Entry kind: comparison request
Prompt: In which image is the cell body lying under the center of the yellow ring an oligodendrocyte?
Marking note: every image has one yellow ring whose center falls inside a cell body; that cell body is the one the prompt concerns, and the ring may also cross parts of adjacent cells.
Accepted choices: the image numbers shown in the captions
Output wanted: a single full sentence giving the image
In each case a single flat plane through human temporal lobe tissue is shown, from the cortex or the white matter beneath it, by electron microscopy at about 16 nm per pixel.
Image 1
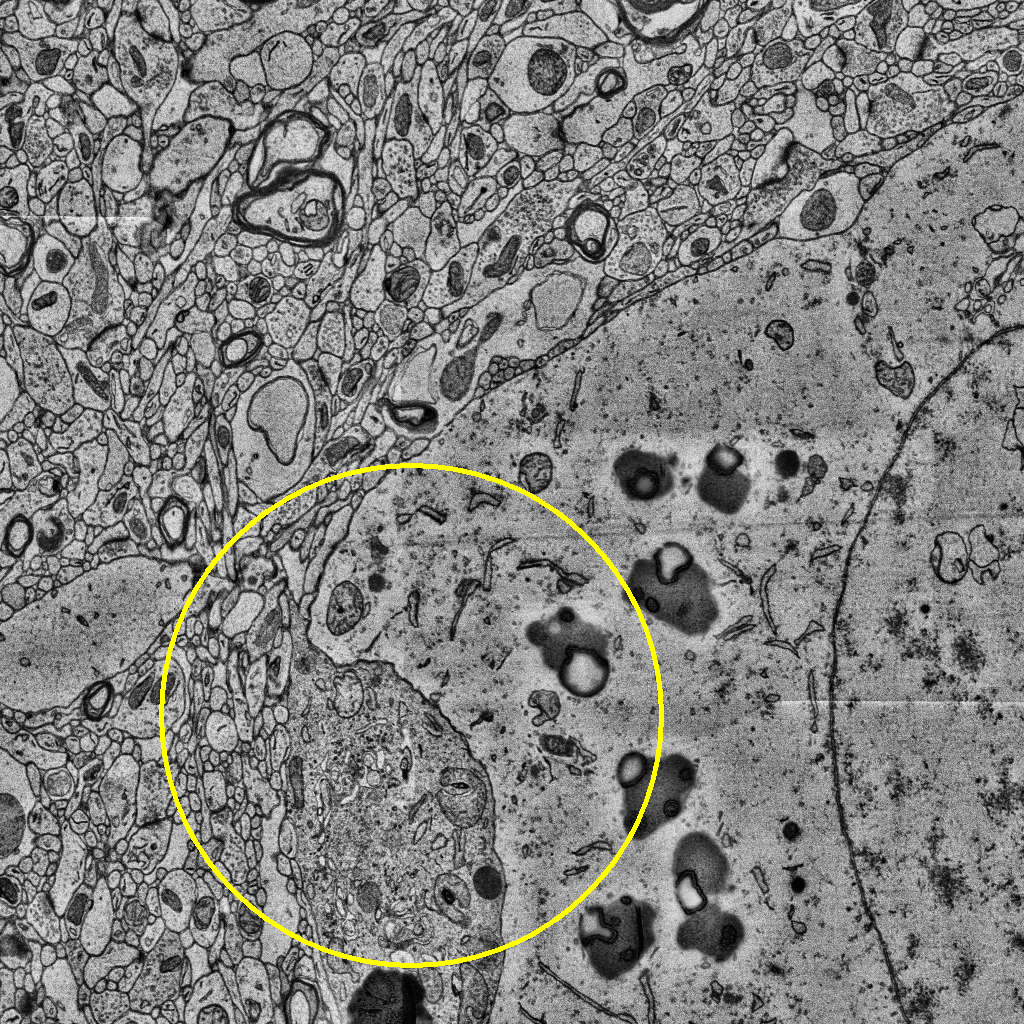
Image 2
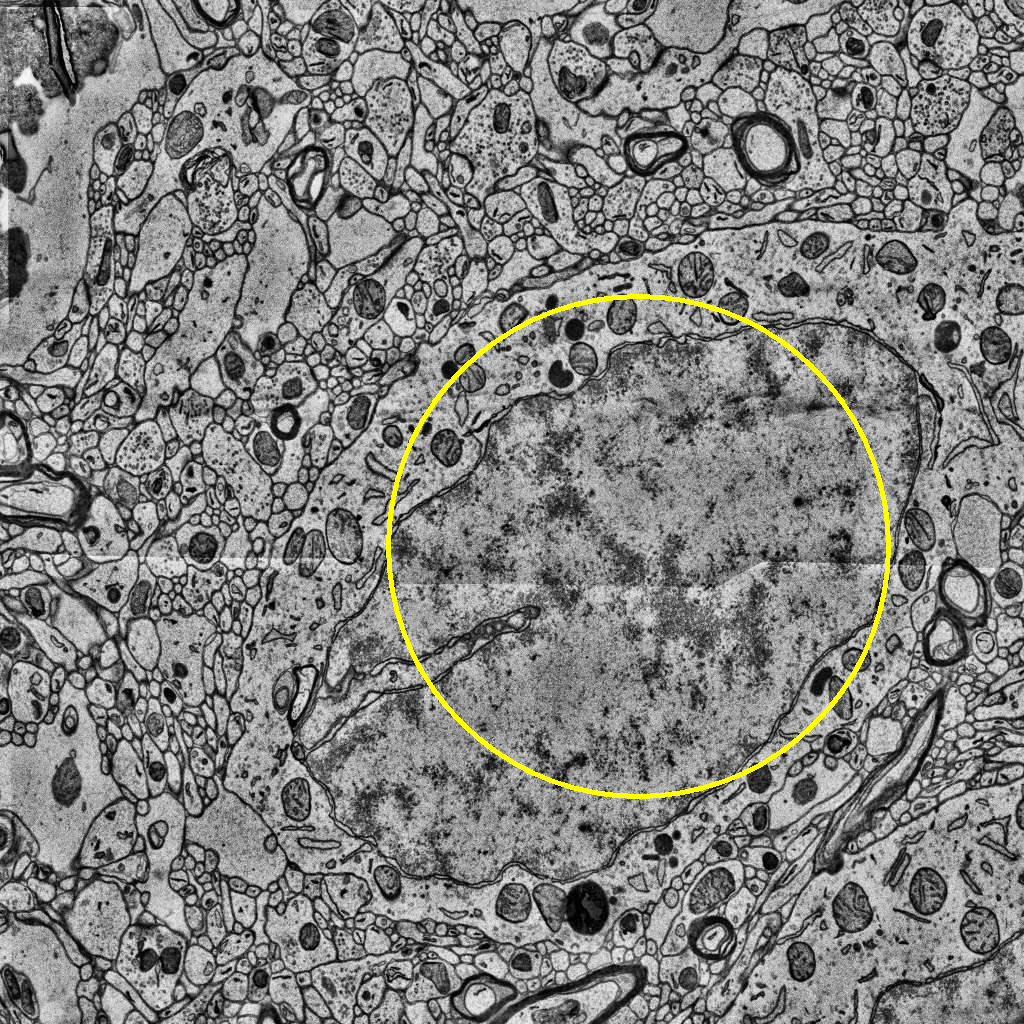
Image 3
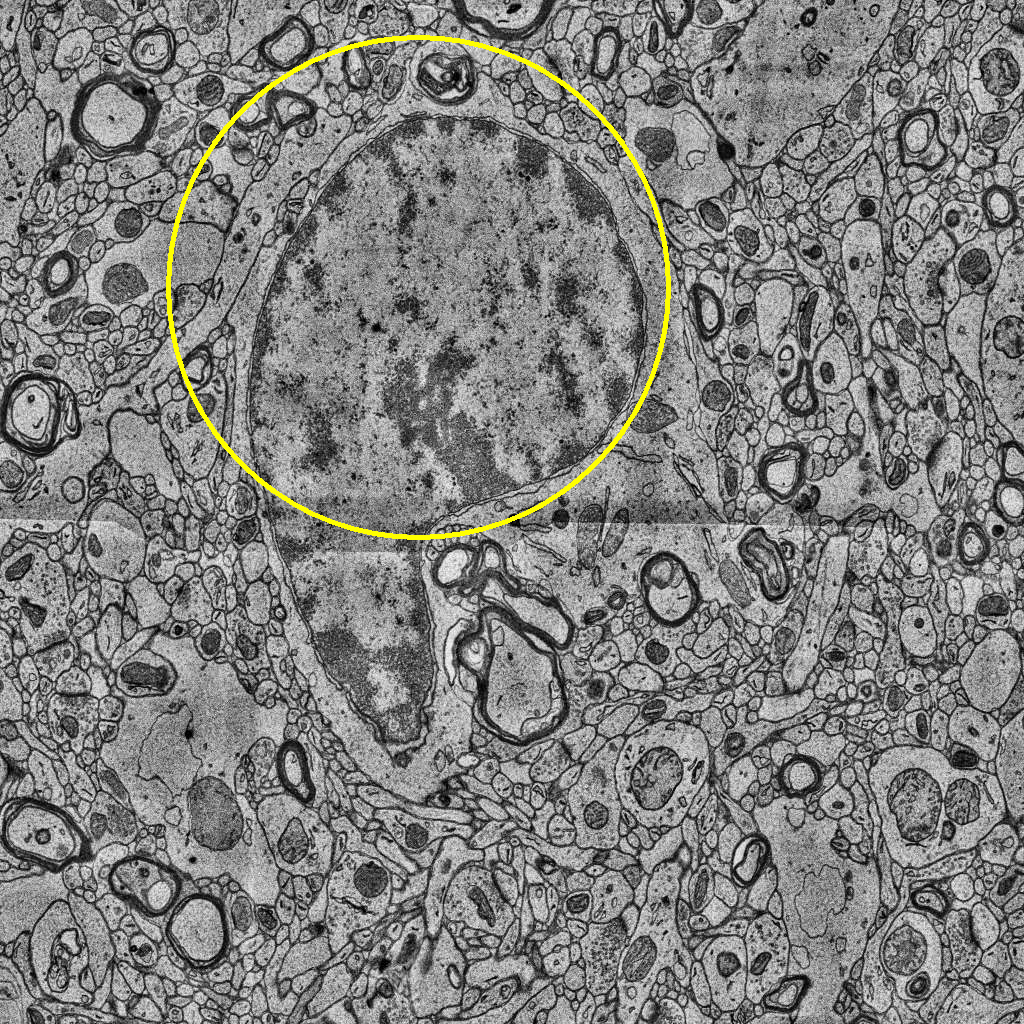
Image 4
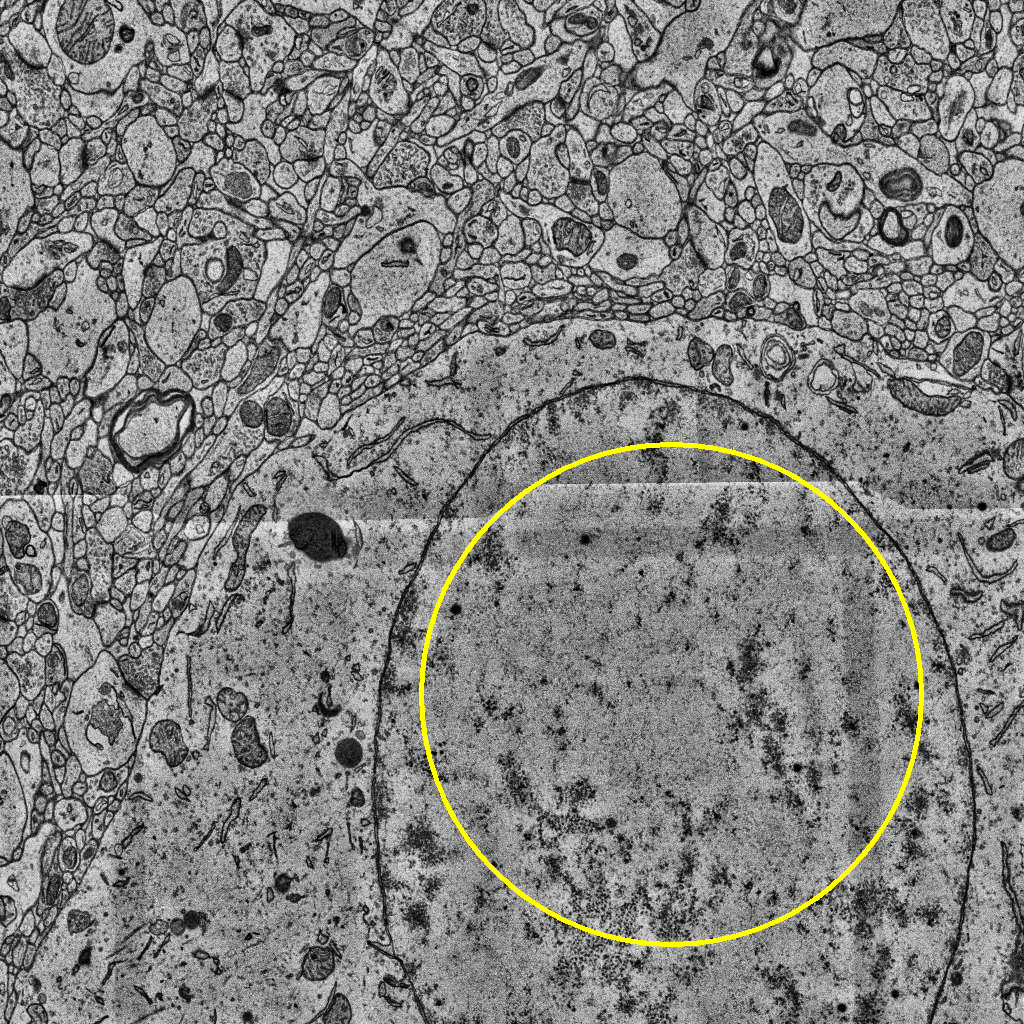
In image 1, the cell holding the center of the yellow ring matches the prompt.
